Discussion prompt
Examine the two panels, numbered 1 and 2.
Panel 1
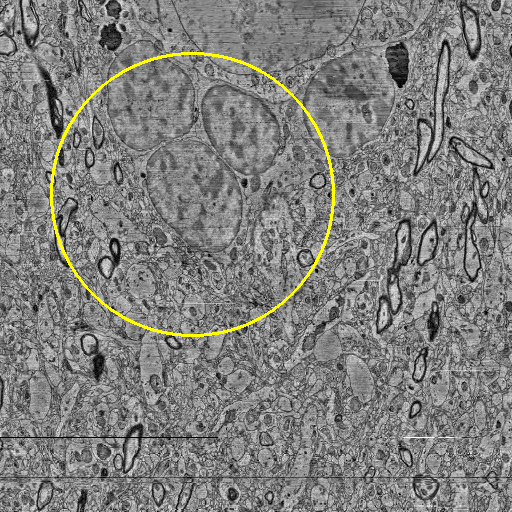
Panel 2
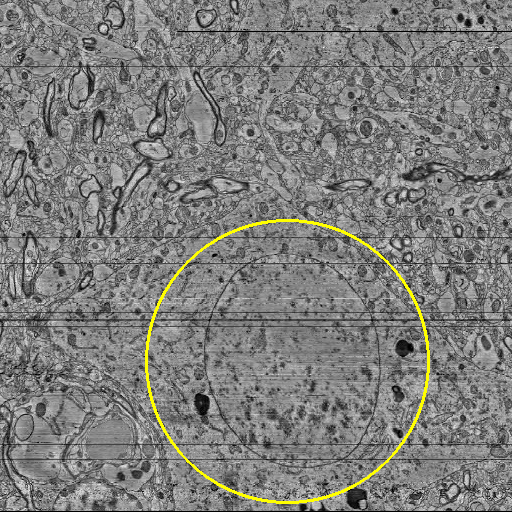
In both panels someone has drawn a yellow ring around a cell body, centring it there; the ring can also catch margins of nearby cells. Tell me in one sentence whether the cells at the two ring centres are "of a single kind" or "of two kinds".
Taken together, the two cells centred in the rings of Panels 1 and 2 are of two kinds.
